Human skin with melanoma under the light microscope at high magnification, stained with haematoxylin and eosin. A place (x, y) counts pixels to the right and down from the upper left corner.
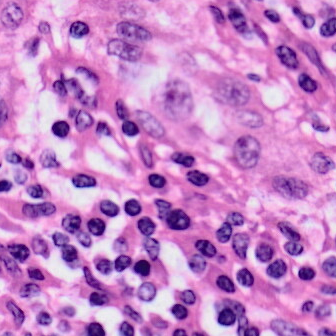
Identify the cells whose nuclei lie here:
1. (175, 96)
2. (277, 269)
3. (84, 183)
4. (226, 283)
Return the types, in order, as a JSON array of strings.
["melanoma cell", "lymphocyte", "lymphocyte", "plasma cell"]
